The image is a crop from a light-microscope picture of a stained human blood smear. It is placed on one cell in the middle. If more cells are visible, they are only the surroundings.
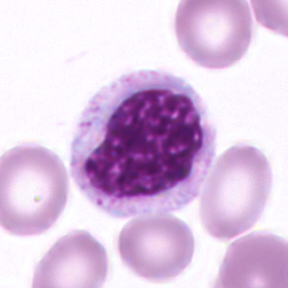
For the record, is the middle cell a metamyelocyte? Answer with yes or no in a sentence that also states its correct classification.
Yes, it is a metamyelocyte that is seen at the centre of the crop.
